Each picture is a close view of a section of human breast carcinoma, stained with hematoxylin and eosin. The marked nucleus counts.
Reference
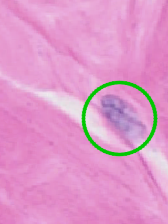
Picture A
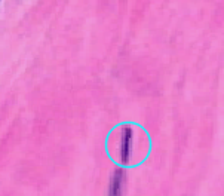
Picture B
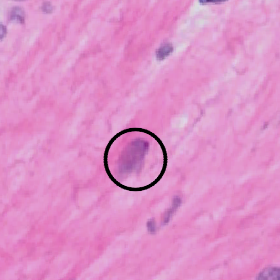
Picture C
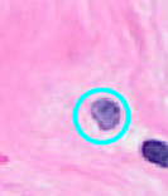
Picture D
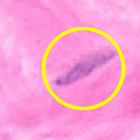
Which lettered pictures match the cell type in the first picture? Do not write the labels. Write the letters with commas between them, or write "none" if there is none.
A, B, D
